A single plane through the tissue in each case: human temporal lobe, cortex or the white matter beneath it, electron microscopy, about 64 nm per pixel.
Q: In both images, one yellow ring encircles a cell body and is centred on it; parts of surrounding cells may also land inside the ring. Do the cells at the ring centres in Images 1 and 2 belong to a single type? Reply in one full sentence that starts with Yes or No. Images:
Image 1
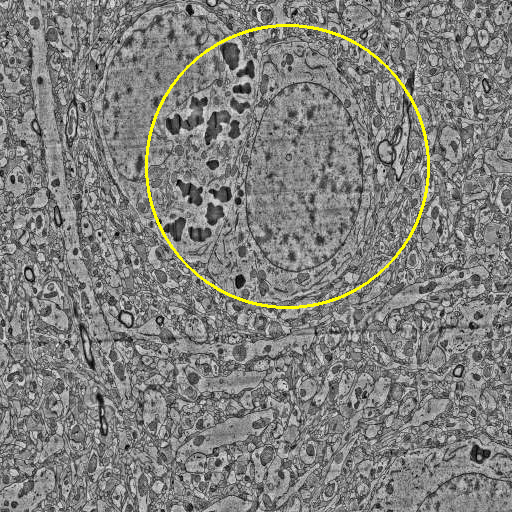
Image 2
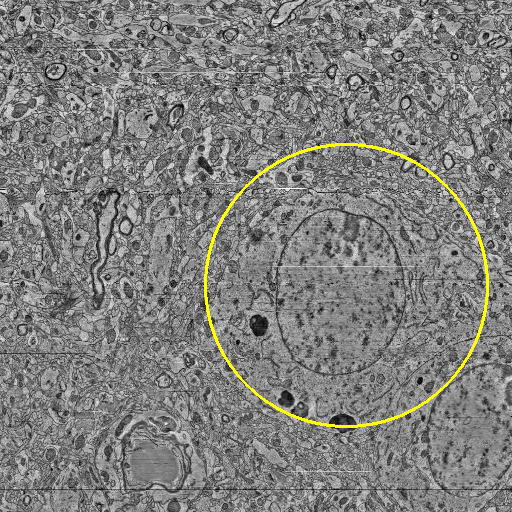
Yes, the cells at the ring centres in Images 1 and 2 are of a single type.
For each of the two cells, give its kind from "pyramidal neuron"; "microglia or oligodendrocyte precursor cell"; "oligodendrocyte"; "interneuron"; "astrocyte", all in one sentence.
Both cells are the same kind, each one being a pyramidal neuron.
